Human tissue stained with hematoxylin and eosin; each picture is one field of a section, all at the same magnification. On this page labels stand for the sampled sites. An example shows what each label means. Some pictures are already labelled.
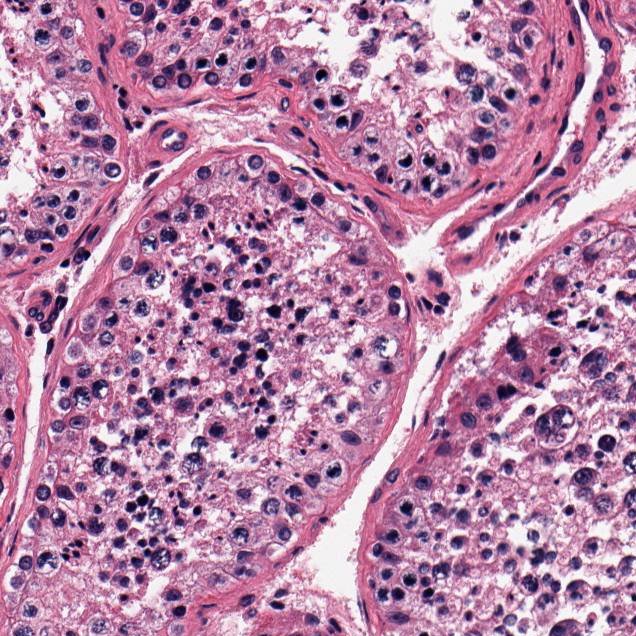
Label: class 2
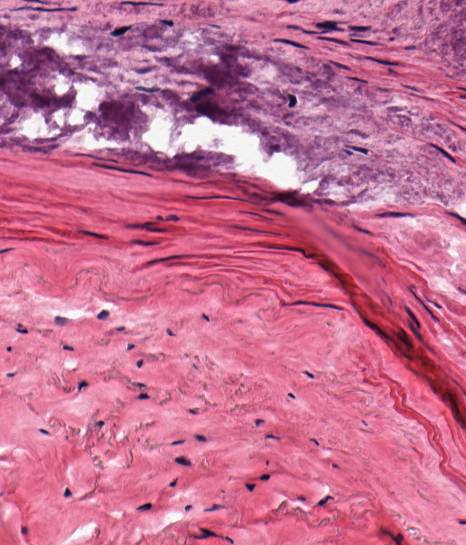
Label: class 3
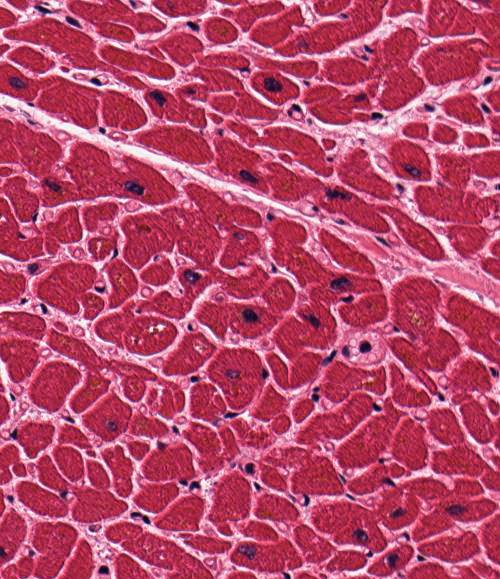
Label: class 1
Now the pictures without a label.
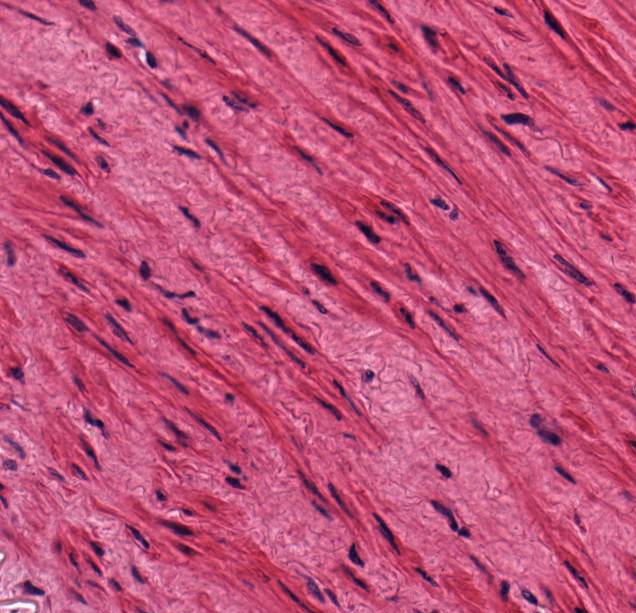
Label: class 3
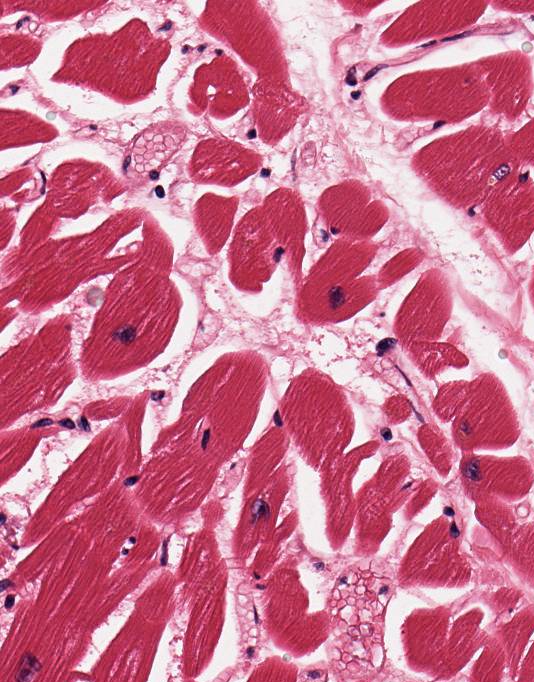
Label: class 1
